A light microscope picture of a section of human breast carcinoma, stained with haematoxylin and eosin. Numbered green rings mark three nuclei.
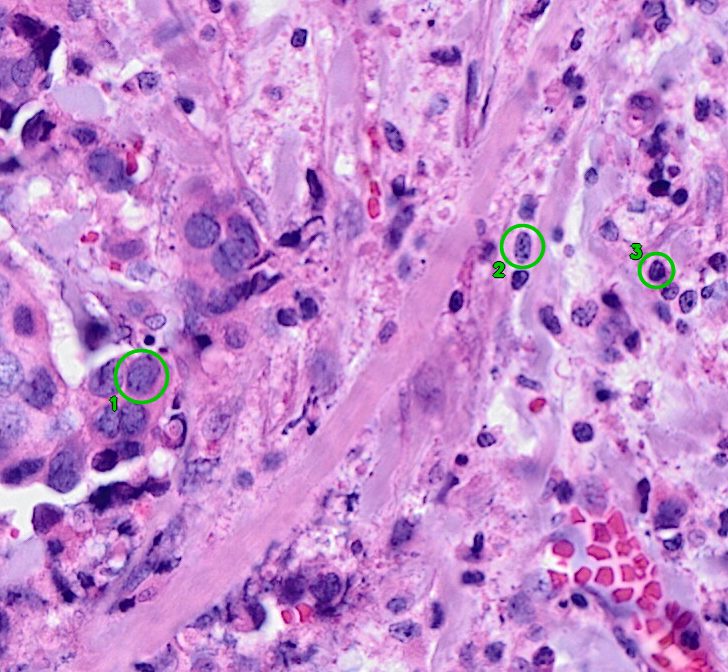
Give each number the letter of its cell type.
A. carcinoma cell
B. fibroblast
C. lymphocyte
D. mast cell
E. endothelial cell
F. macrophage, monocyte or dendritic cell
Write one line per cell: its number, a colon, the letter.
1: A
2: D
3: C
